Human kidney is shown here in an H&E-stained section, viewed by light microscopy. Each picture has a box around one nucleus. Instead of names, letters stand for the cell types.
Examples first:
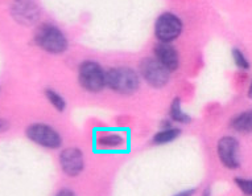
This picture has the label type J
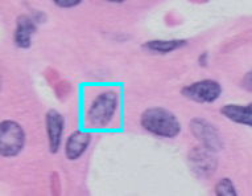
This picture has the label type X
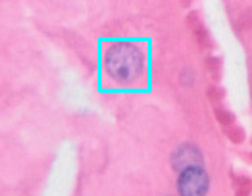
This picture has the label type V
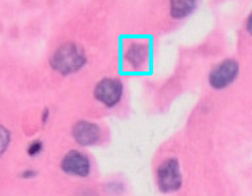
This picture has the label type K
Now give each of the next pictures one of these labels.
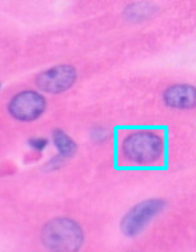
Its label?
type V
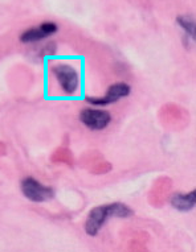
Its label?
type J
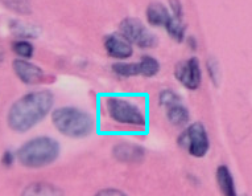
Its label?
type J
